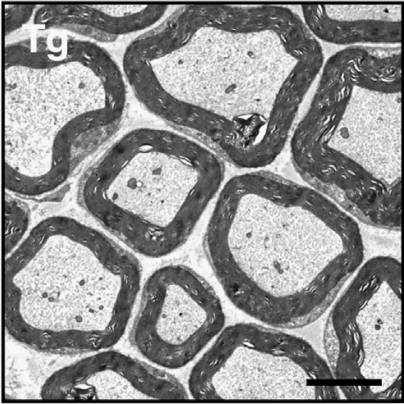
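This cross section of peripheral nerve shows closely packed myelinated axons of varying size. Each axon is a pale, finely granular area containing a few small dark dots, surrounded by a dark, layered band of myelin with visible concentric lamellae. The profiles range from rounded to angular shapes. Narrow light spaces separate the fibres, and a small dark irregular fleck sits at the edge of one sheath near the top.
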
